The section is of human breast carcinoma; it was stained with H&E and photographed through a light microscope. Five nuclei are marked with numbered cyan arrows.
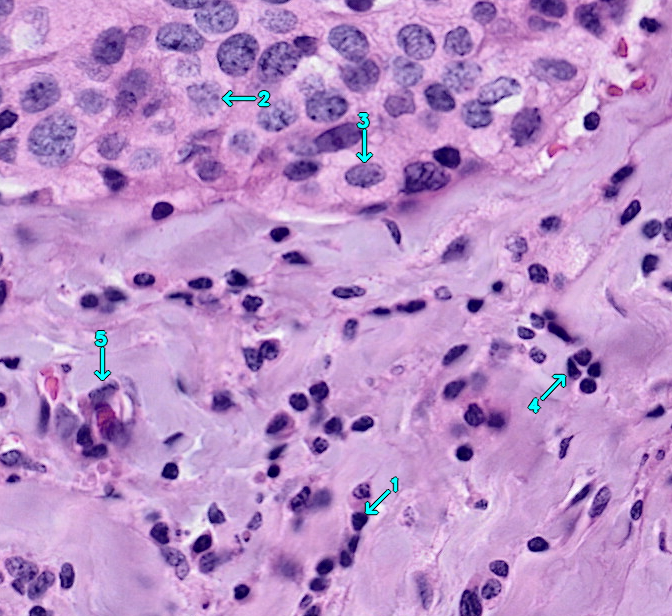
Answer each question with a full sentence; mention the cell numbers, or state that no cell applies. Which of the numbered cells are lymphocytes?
In this section, the cells numbered 1 and 4 are lymphocytes.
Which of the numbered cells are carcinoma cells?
Into the category of carcinoma cells fall the cells numbered 2 and 3.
